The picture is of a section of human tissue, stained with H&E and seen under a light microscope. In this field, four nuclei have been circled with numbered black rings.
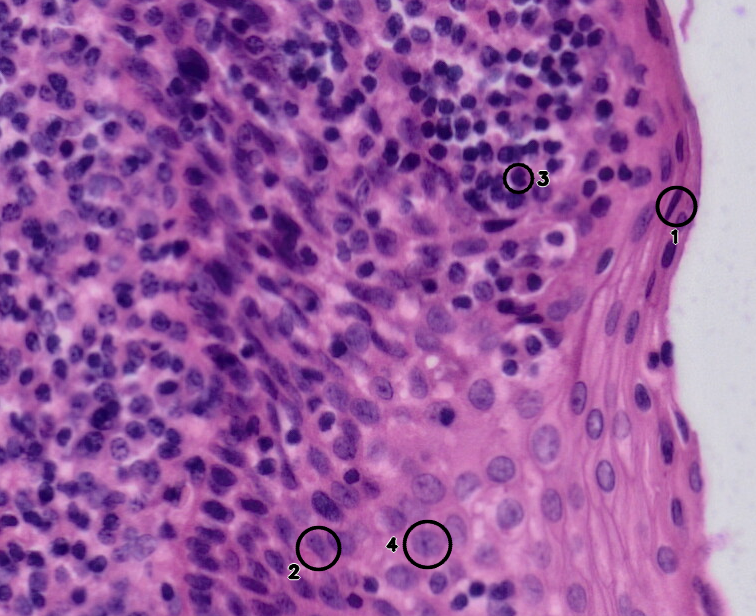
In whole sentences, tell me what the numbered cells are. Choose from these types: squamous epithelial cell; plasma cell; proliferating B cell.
Cell 1 is a squamous epithelial cell, cell 2 is a squamous epithelial cell, cell 3 is a plasma cell and cell 4 is a squamous epithelial cell.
